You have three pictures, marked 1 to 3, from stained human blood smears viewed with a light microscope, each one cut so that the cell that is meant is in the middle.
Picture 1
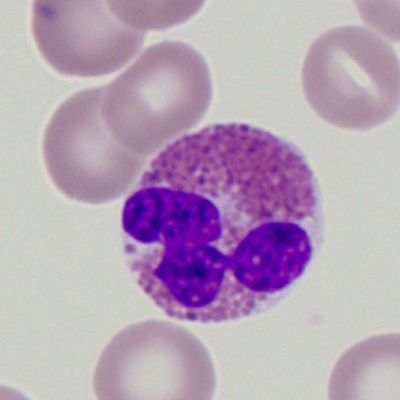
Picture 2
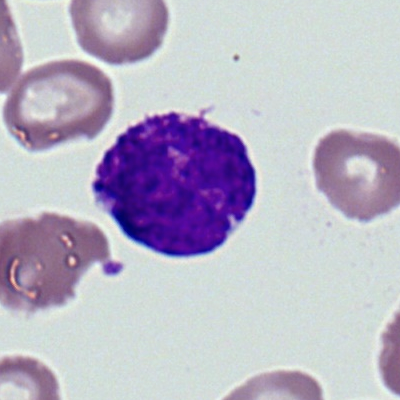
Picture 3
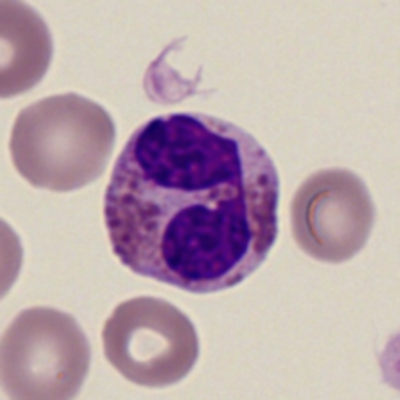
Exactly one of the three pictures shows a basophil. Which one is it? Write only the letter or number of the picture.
2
